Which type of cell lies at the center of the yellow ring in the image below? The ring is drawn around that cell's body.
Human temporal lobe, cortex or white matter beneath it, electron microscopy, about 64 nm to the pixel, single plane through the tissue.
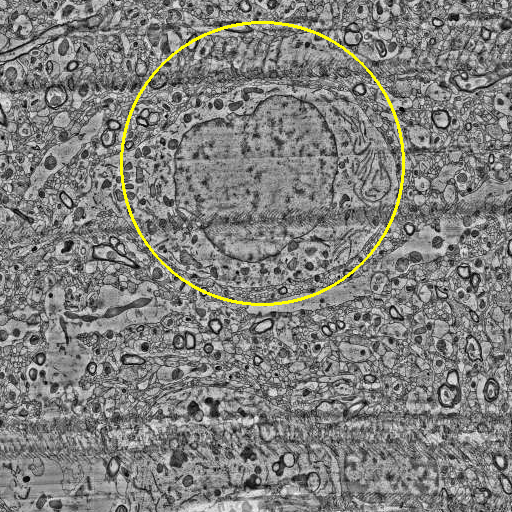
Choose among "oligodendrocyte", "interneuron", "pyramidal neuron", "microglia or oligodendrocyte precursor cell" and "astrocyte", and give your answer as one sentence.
The cell body at the center belongs to an interneuron.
